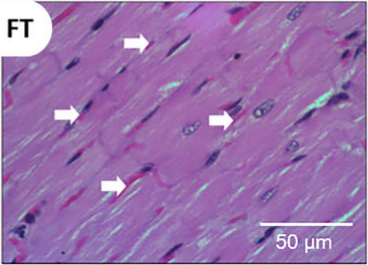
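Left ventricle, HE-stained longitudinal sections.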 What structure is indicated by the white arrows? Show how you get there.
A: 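Thin channels with red corpuscles lie between the pink muscle fibres. The channels run parallel to the fibres.
Intramyocardial vessels.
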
